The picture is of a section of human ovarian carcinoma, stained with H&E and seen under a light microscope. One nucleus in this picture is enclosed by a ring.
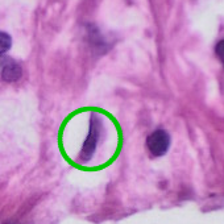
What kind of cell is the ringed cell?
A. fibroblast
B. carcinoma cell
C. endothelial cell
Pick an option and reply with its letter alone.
A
